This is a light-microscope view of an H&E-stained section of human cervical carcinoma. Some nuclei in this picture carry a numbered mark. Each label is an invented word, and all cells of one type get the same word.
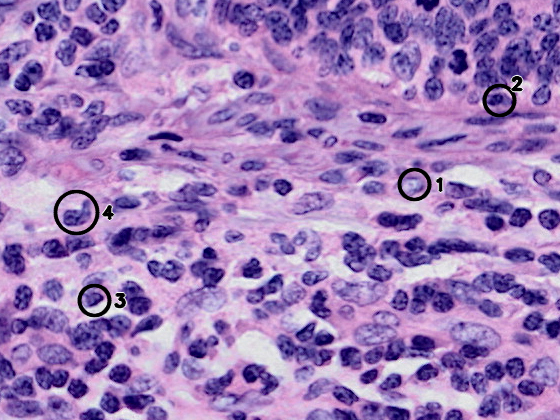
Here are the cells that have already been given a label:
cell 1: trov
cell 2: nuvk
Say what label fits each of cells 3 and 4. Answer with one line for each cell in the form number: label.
3: nuvk
4: nuvk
